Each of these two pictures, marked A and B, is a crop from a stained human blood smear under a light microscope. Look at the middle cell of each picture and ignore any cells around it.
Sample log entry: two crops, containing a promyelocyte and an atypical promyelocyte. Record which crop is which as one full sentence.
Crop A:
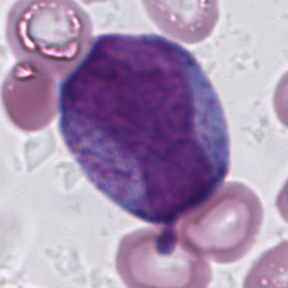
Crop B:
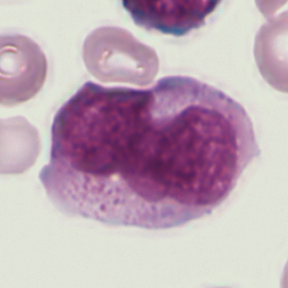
Classification: crop A is a promyelocyte, crop B is an atypical promyelocyte.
